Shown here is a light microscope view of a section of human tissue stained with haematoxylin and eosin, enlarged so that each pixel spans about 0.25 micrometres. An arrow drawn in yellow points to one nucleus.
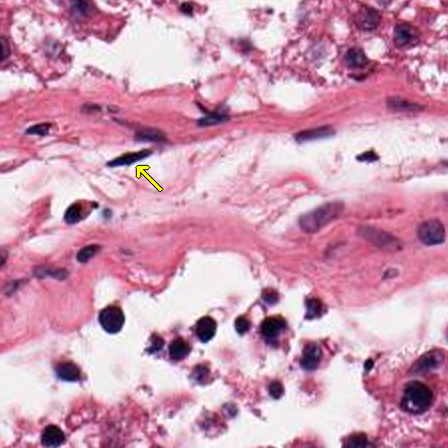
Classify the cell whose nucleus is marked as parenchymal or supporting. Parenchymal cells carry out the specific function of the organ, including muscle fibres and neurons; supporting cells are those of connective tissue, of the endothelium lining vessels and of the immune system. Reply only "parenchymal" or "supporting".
supporting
